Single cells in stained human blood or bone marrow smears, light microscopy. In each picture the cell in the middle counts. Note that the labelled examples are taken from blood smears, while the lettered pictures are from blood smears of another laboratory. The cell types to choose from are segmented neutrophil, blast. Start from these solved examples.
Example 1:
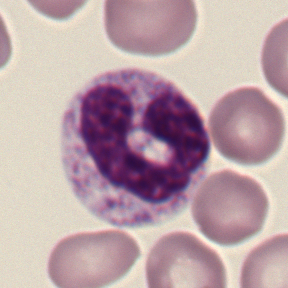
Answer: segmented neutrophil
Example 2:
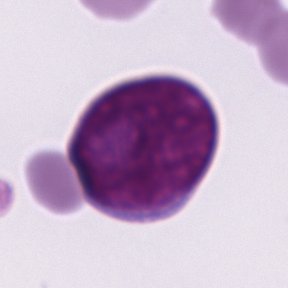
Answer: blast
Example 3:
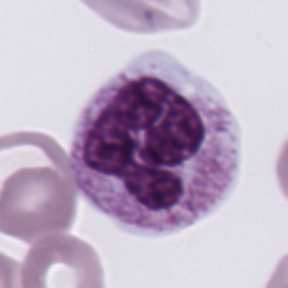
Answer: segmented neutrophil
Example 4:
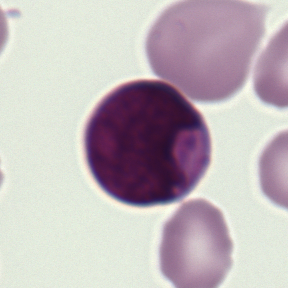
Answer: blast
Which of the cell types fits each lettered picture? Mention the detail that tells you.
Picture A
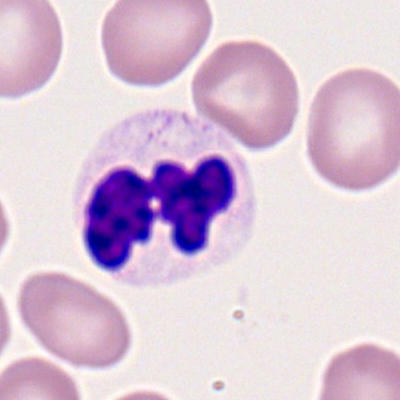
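Label: segmented neutrophil. The nucleus is split into two main lobes lying side by side, left and right.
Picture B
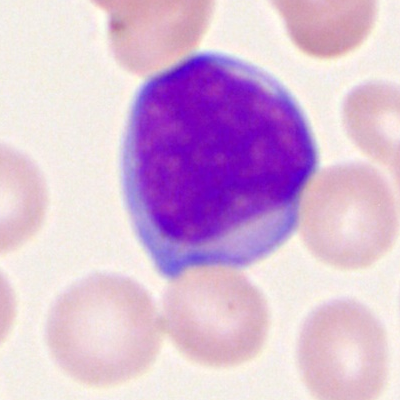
Label: blast. The nucleus fills most of the cell.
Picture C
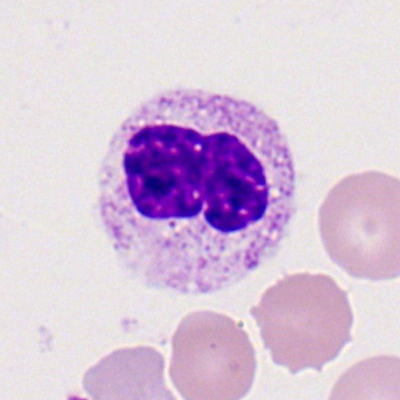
Label: segmented neutrophil. The cytoplasm forms a wide rim all around the nucleus.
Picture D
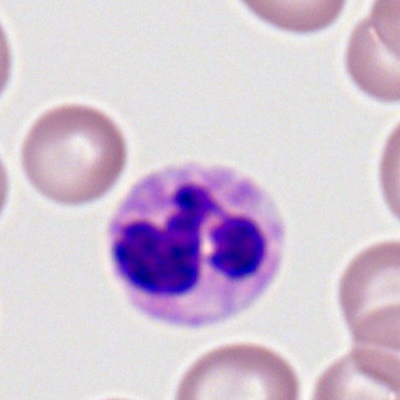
Label: segmented neutrophil. The cytoplasm is plentiful and pale pinkish-lilac.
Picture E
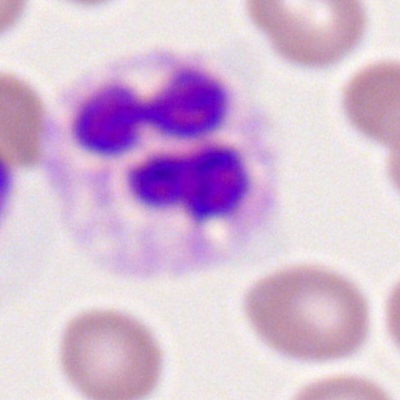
Label: segmented neutrophil. The cytoplasm is plentiful and pale pinkish-lilac.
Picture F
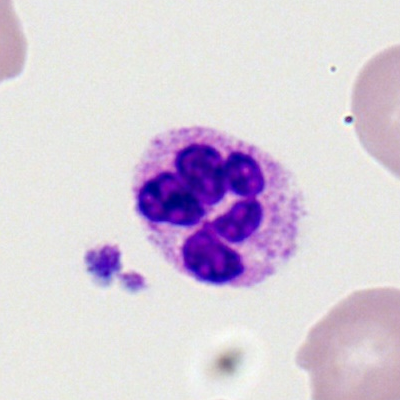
Label: segmented neutrophil. The nucleus is split into at least five separate lobes.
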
